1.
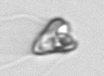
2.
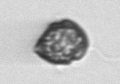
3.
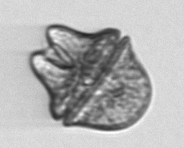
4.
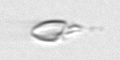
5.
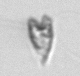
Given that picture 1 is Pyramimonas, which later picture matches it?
5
